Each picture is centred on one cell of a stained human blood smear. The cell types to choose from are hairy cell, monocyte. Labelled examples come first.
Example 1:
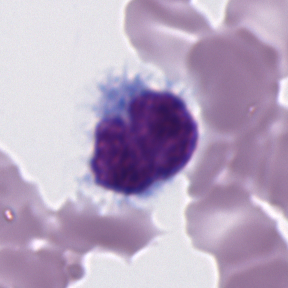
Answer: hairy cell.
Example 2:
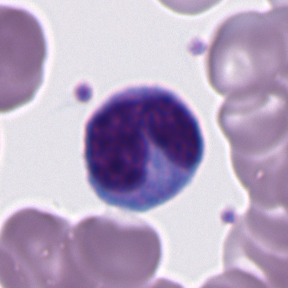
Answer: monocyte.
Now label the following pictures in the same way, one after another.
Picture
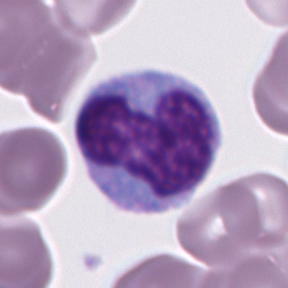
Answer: monocyte.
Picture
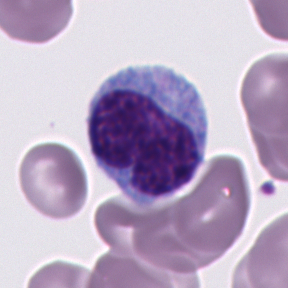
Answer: monocyte.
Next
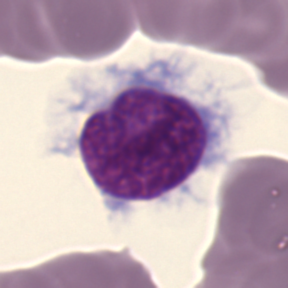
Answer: hairy cell.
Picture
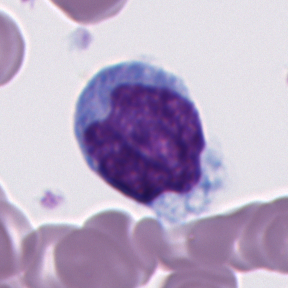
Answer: monocyte.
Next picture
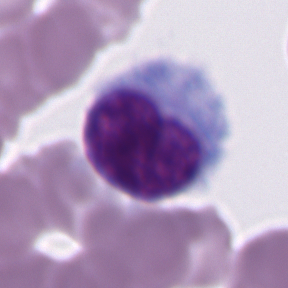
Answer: hairy cell.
